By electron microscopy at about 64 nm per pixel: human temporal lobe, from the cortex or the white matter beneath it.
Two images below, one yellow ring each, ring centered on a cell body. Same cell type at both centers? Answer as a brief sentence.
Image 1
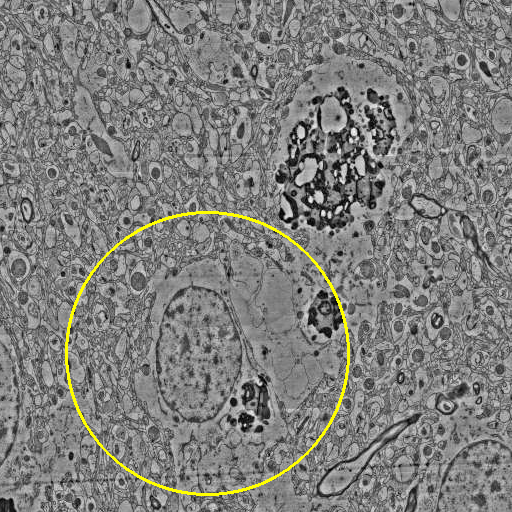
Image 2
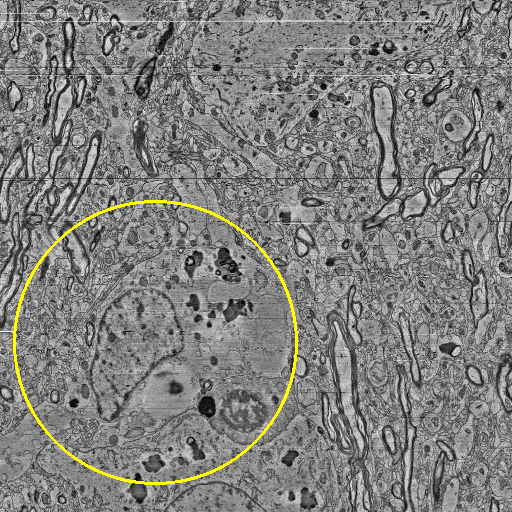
Yes, both cells are of the same type.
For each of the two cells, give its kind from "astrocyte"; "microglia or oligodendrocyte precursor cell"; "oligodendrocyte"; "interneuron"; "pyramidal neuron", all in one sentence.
The cell in the first picture is an astrocyte, and so is the one in the second.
